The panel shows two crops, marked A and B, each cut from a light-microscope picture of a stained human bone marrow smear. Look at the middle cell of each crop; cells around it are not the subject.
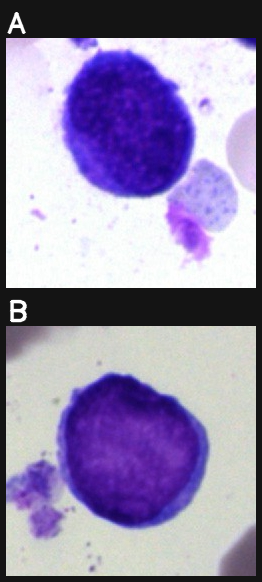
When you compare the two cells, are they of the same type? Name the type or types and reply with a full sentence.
Yes, both crops have blasts at the centre.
